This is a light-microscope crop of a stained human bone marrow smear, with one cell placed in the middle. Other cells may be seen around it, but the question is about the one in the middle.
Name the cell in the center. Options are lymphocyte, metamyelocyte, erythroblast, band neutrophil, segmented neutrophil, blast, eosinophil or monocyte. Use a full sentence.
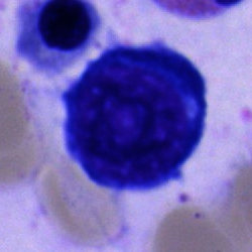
Classified as an erythroblast is the cell in the middle of this crop.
